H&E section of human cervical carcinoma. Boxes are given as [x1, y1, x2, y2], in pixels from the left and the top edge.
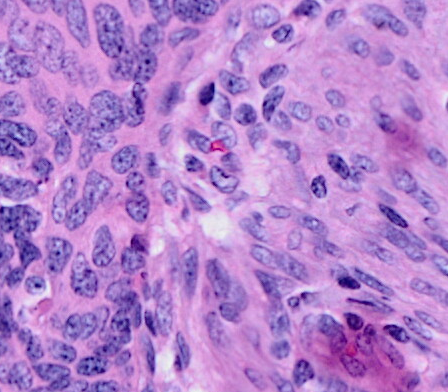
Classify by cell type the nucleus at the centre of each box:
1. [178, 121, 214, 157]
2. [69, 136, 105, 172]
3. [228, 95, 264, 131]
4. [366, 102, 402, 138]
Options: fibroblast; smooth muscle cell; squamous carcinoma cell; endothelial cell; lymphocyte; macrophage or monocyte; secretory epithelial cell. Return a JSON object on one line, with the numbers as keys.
{"1": "endothelial cell", "2": "squamous carcinoma cell", "3": "lymphocyte", "4": "smooth muscle cell"}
